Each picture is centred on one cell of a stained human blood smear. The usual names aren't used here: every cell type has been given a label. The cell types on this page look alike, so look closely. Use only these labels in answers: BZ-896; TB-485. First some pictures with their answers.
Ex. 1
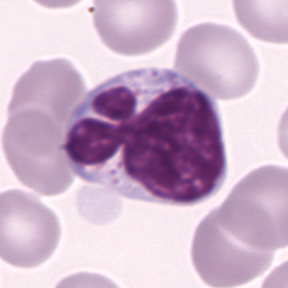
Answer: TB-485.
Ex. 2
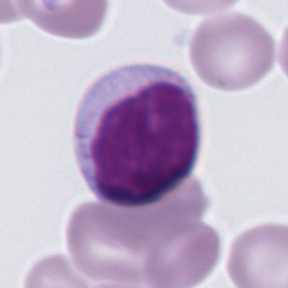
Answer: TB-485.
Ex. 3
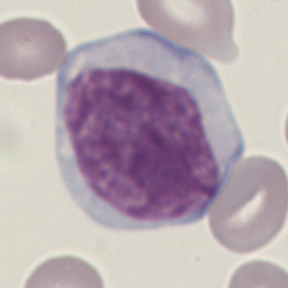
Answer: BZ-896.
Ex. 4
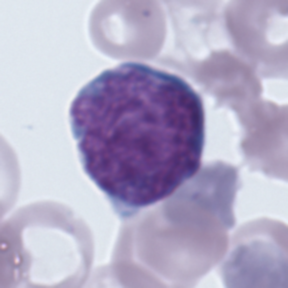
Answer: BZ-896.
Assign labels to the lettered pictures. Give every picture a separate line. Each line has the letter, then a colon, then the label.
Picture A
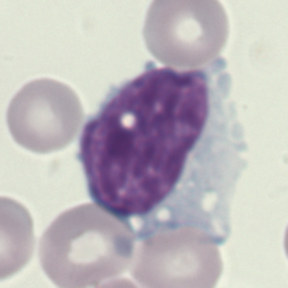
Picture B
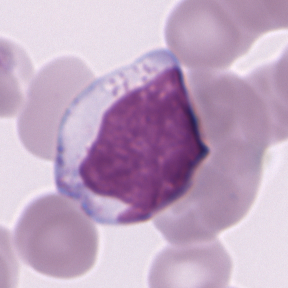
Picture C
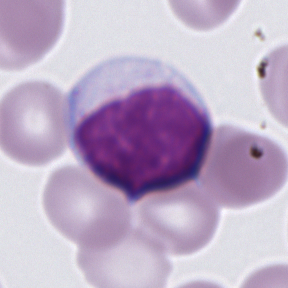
A: BZ-896.
B: TB-485.
C: TB-485.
